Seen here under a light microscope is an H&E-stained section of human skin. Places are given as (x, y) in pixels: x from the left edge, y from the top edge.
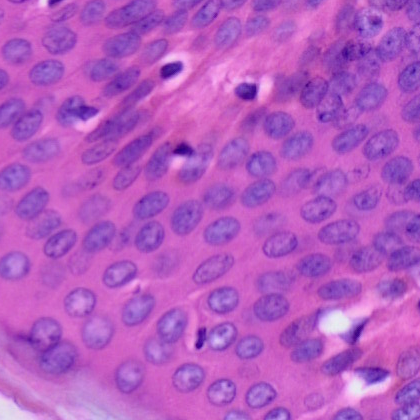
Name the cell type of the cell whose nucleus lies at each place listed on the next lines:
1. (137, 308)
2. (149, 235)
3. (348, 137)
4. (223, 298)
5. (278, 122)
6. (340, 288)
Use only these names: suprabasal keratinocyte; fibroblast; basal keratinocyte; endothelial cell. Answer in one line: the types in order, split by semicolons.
suprabasal keratinocyte; suprabasal keratinocyte; suprabasal keratinocyte; suprabasal keratinocyte; basal keratinocyte; basal keratinocyte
